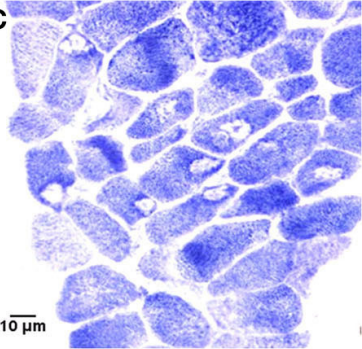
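Some fibers stain deep blue and others much paler, so the fiber types can be told apart by intensity. Within many fibers the blue is uneven, with pale, clear irregular patches breaking up the stained network, giving a moth-eaten look. Fibers differ in size, and several small fibers lie between larger ones. In normal muscle the stain would form a fine, even network in each fiber.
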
